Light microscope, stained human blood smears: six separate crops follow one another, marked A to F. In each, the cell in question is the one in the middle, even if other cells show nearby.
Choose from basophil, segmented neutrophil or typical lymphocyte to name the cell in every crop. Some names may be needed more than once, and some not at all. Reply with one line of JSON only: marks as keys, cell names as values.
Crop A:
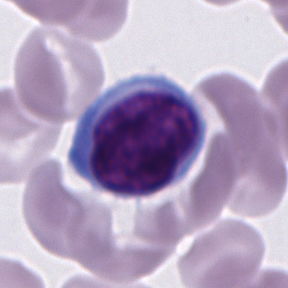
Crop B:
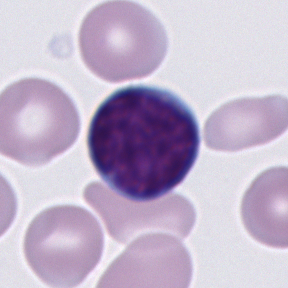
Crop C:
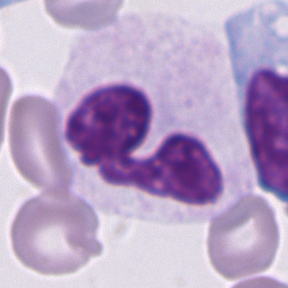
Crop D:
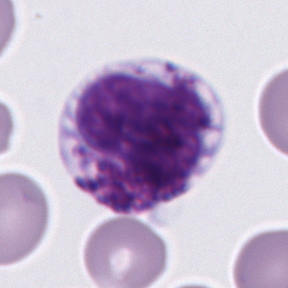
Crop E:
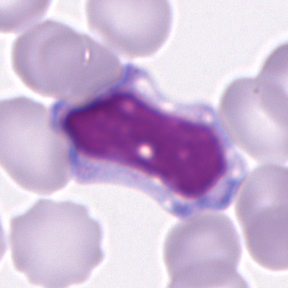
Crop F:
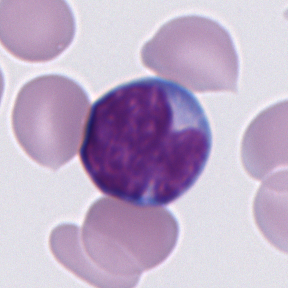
{"A": "typical lymphocyte", "B": "typical lymphocyte", "C": "segmented neutrophil", "D": "basophil", "E": "typical lymphocyte", "F": "typical lymphocyte"}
